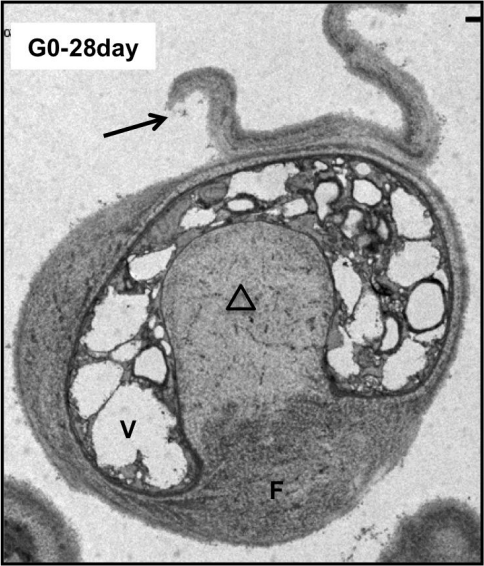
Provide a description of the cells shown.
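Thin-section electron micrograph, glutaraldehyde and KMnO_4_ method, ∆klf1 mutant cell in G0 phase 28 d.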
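This is a rounded yeast cell whose cytoplasm is crowded with many pale, irregular vacuoles pressed around a large central, finely textured body. Outside, a thick crescent of fibrous layered material bulges on one side, and at the top a strip of the cell wall peels away from the surface.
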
